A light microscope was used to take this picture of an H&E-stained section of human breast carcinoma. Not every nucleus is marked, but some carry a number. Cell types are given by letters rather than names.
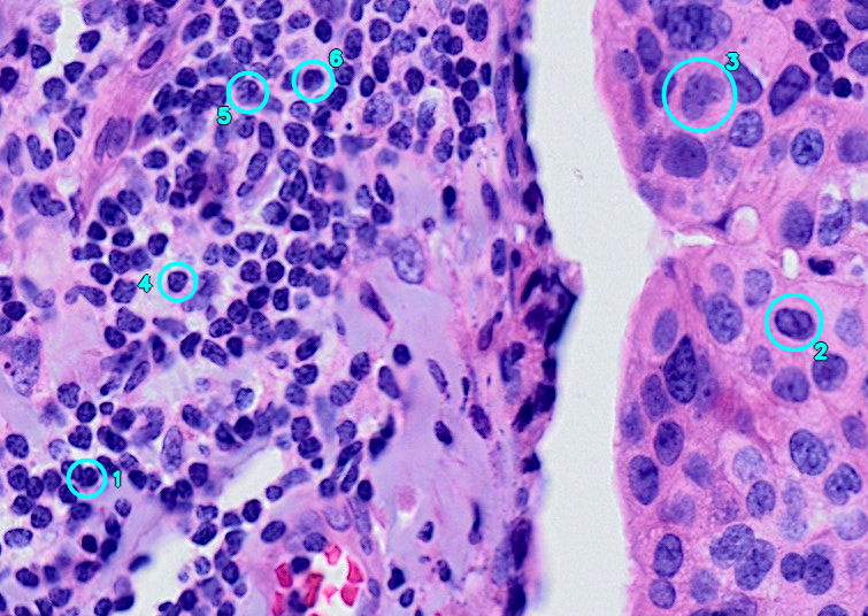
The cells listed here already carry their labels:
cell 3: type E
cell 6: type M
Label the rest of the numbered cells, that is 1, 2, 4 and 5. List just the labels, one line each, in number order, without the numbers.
type M
type E
type M
type M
